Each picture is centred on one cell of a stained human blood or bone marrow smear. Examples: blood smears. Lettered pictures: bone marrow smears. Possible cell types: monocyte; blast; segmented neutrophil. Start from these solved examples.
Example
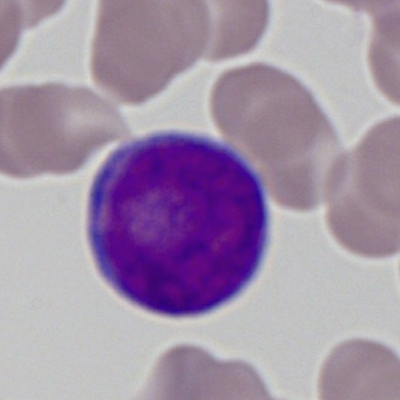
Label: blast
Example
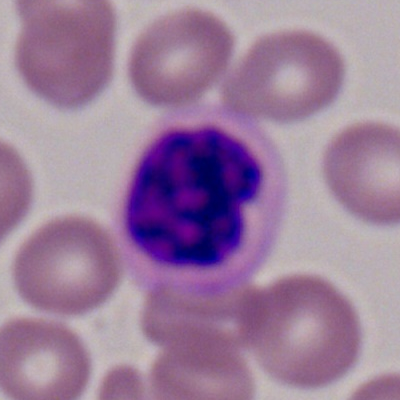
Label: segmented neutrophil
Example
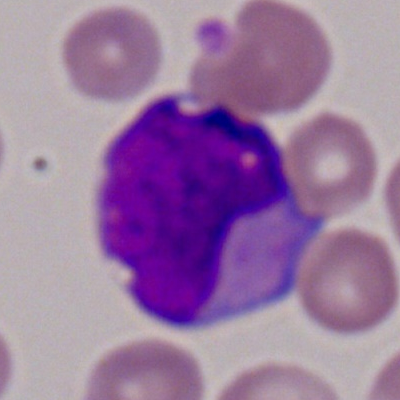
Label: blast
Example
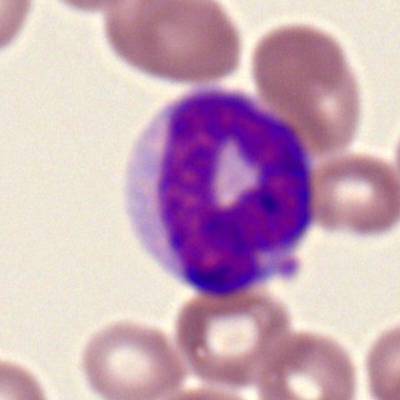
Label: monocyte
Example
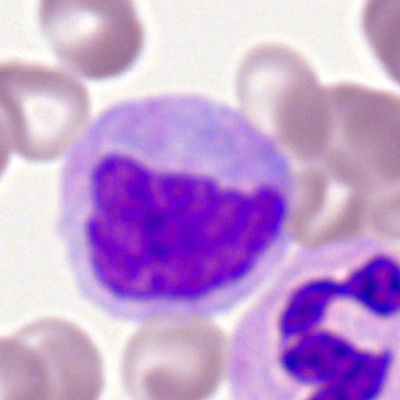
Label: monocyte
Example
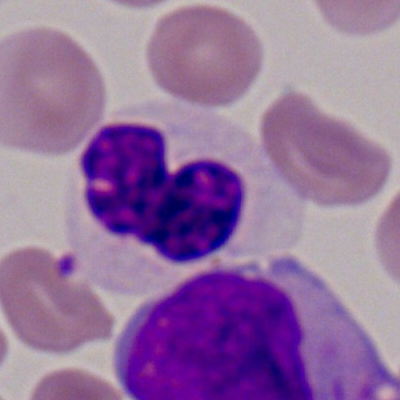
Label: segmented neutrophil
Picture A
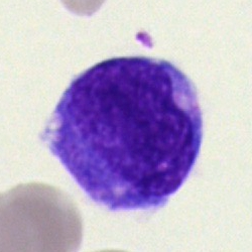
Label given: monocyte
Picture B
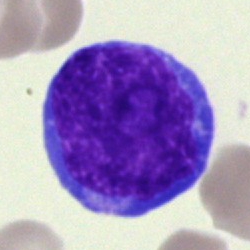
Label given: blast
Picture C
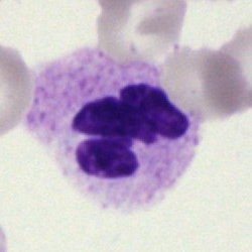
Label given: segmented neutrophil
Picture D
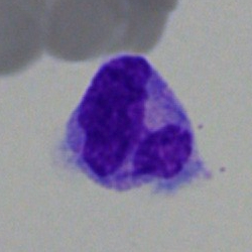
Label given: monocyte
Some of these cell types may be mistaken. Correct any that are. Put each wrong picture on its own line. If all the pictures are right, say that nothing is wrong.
Nothing to fix; every label fits.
